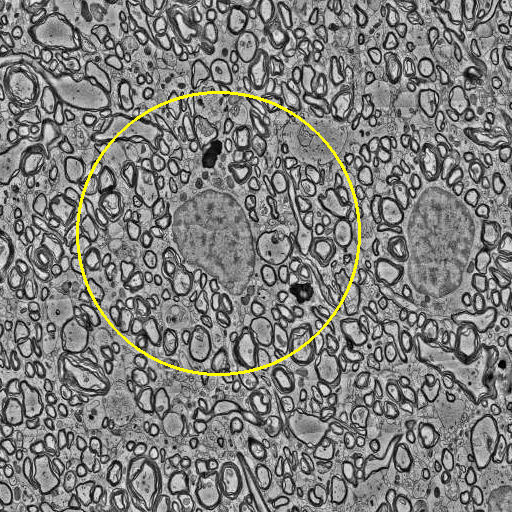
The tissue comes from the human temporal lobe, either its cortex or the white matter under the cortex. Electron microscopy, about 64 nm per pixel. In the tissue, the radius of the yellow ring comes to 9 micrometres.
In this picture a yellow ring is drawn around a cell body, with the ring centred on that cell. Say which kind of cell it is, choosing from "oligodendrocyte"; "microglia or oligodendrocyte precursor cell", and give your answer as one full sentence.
Here it is an oligodendrocyte that sits at the centre of the drawn yellow ring.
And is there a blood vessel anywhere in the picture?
No, none shows.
